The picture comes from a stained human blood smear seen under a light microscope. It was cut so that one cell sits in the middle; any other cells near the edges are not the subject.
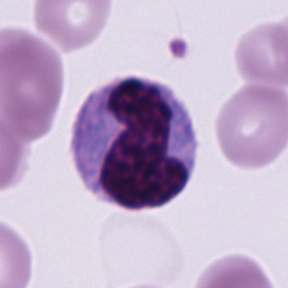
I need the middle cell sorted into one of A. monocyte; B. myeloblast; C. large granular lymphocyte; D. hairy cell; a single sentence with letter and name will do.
The correct identification, given in option A, is that the central cell is a monocyte.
